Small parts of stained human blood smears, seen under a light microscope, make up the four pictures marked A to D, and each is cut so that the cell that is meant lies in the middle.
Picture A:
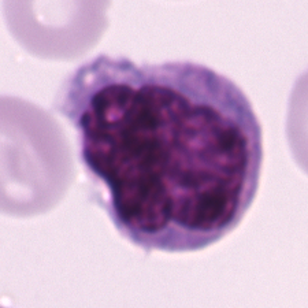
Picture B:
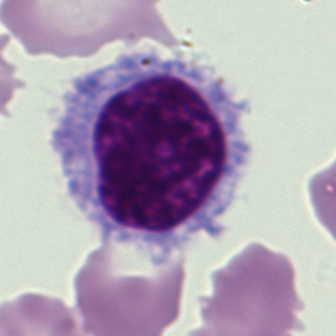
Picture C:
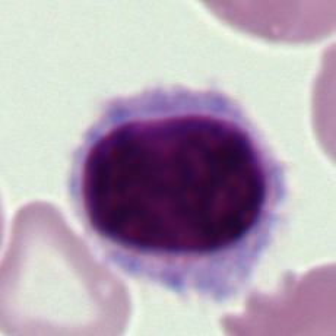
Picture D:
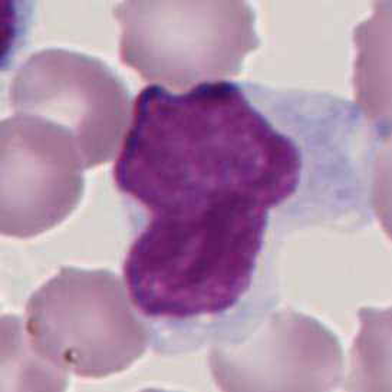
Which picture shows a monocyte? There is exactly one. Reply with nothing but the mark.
A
